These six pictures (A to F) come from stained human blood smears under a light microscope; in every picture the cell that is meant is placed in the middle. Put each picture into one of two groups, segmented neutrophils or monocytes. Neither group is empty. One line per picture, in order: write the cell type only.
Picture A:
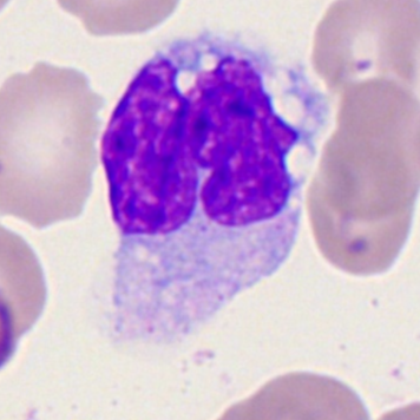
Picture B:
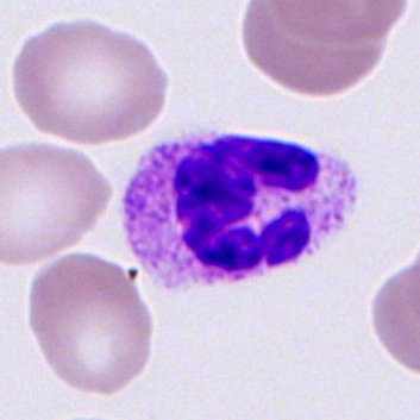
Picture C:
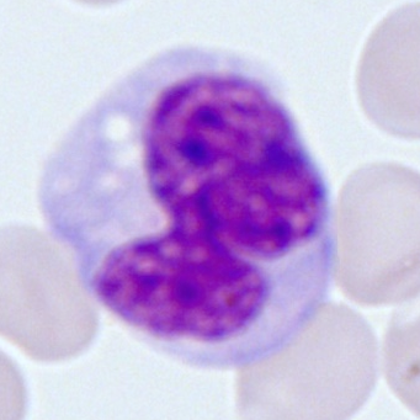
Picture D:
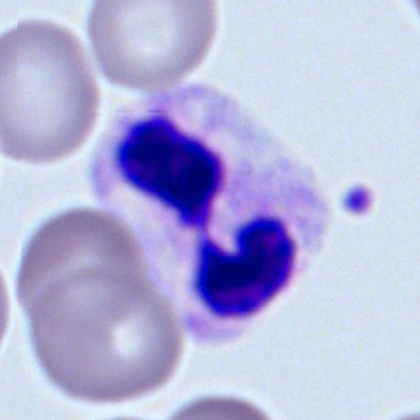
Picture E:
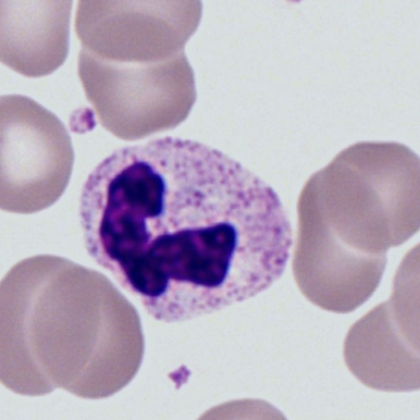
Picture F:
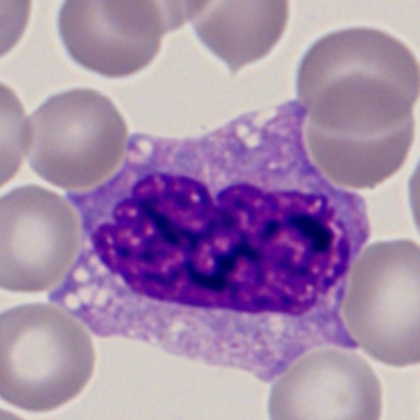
monocyte
segmented neutrophil
monocyte
segmented neutrophil
segmented neutrophil
monocyte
